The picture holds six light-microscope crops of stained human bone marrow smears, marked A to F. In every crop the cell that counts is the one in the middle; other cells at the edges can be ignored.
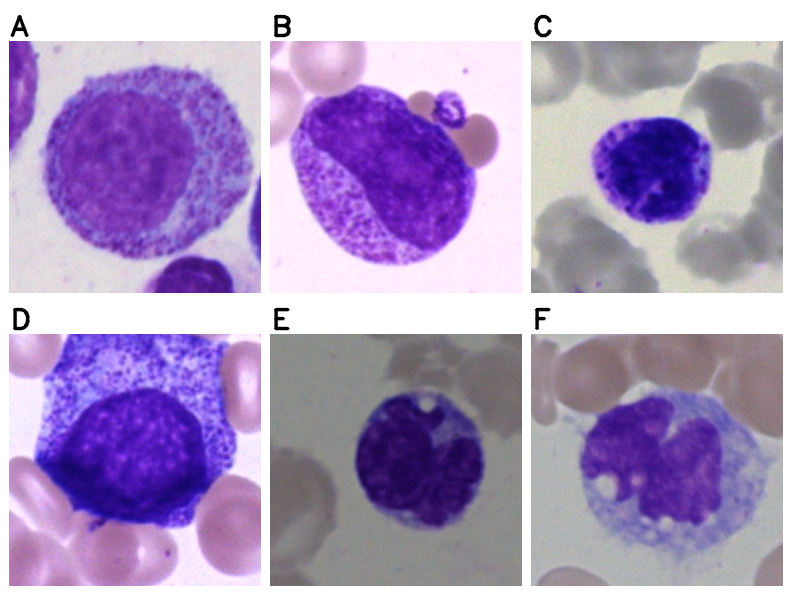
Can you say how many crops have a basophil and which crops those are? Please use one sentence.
The one crop that shows a basophil is crop C.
